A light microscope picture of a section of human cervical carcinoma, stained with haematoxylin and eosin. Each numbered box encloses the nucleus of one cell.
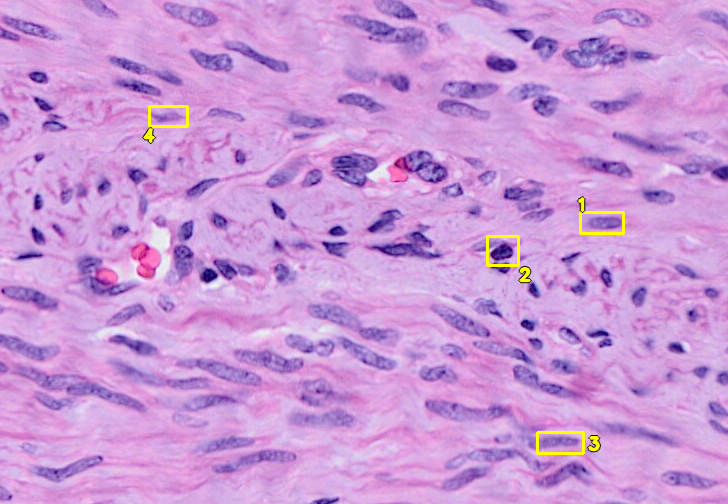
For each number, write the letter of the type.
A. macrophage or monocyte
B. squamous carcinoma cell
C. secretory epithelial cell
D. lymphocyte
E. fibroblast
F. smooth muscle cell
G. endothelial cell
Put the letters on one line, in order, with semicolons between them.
F; D; F; F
